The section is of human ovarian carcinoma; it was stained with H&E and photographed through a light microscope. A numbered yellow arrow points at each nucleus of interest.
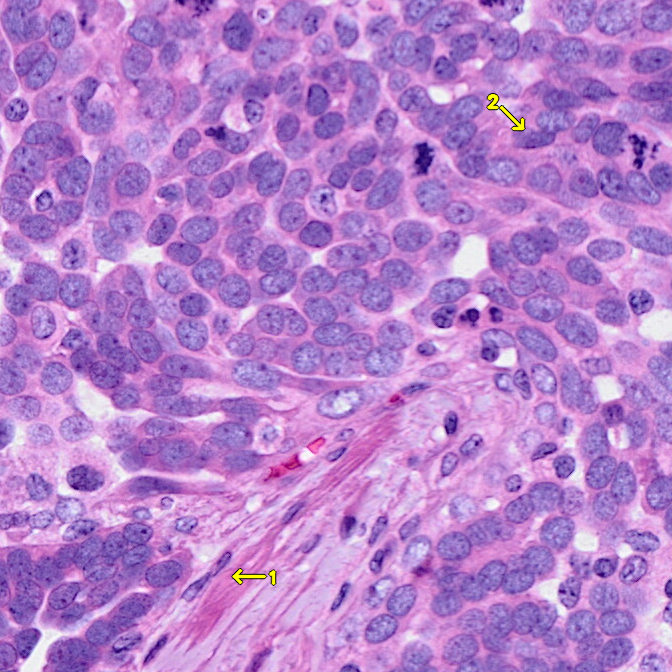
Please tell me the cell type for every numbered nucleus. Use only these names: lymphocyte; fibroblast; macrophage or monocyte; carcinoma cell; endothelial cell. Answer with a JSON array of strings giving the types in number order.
["fibroblast", "carcinoma cell"]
